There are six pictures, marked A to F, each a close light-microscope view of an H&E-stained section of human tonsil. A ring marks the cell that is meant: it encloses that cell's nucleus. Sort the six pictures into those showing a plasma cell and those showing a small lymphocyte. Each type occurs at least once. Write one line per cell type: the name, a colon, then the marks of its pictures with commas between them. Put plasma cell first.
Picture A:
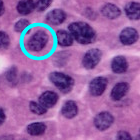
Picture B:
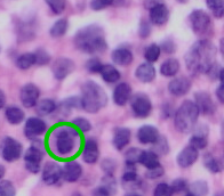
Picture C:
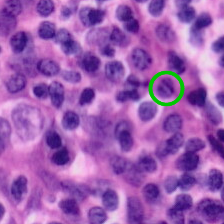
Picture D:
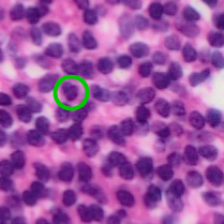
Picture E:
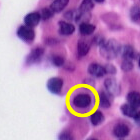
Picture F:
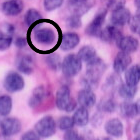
plasma cell: A, C, E
small lymphocyte: B, D, F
